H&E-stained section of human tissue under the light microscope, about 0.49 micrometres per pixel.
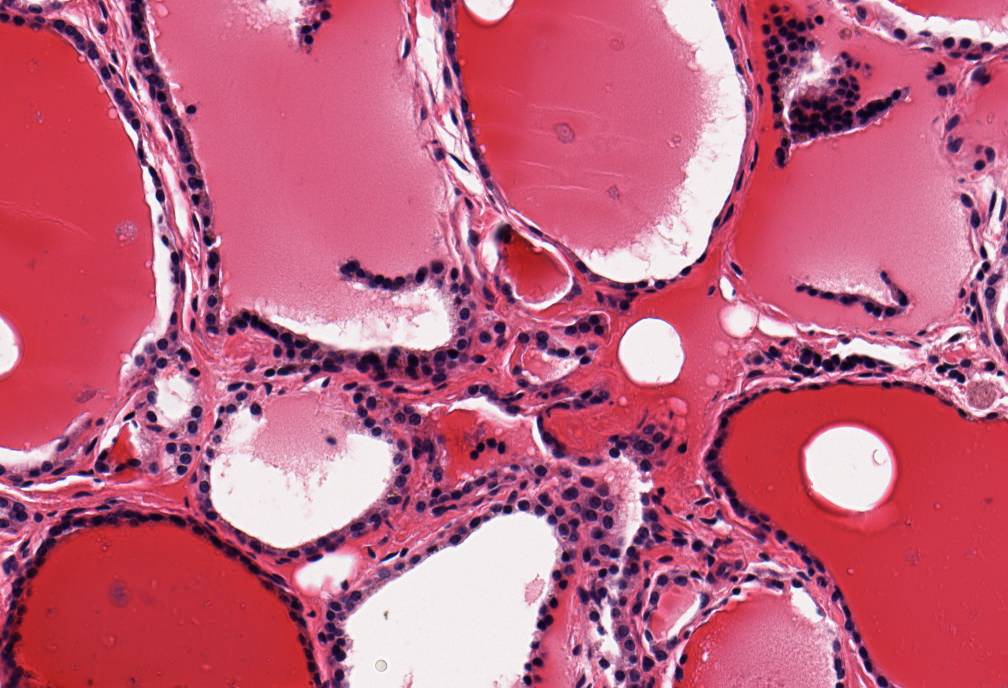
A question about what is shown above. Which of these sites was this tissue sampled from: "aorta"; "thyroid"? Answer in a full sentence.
The site this tissue was sampled from is the thyroid.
